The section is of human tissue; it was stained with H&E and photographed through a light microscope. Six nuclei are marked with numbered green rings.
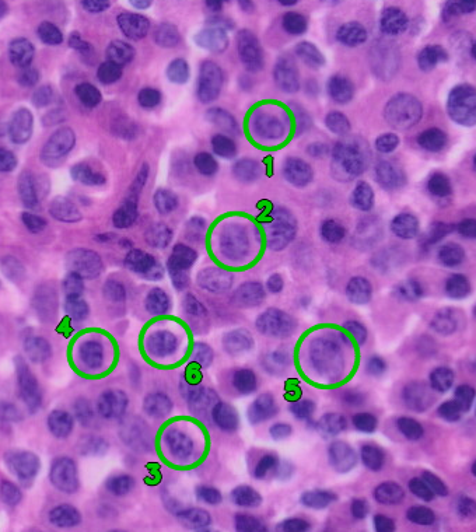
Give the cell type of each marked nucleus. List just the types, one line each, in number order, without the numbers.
plasma cell
squamous epithelial cell
plasma cell
plasma cell
squamous epithelial cell
plasma cell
